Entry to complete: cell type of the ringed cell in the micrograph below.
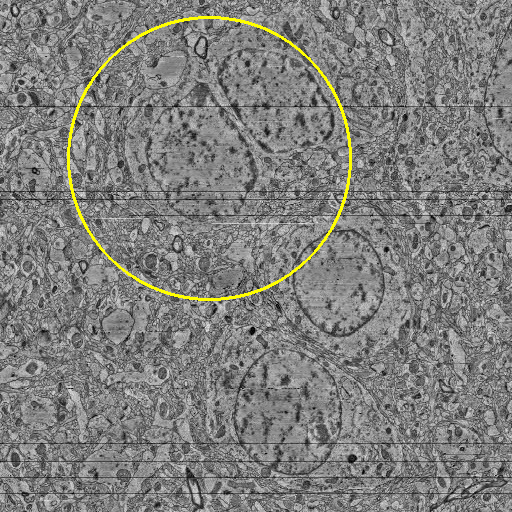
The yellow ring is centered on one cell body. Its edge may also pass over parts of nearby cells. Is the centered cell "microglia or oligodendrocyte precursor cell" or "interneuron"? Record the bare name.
interneuron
